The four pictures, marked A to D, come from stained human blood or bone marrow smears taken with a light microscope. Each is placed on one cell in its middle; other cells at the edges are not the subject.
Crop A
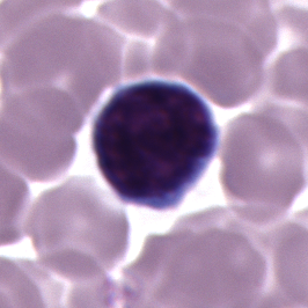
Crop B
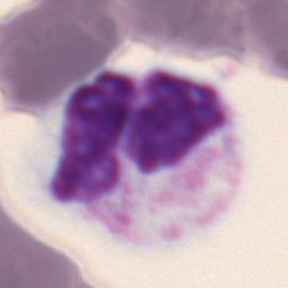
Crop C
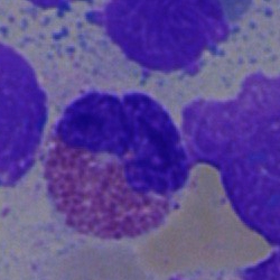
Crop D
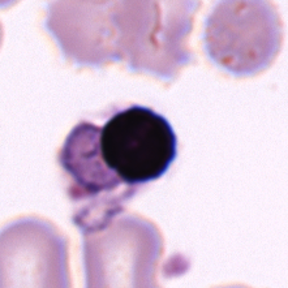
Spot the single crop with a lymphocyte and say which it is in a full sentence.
Selected crop: A, which is the one that shows a lymphocyte.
